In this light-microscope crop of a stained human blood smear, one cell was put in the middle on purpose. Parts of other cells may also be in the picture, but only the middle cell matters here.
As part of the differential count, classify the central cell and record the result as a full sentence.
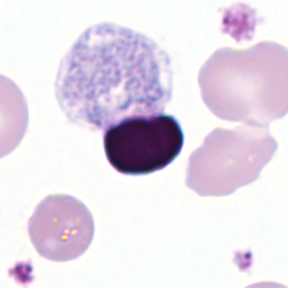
In this smear crop, the middle cell is a normoblast.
